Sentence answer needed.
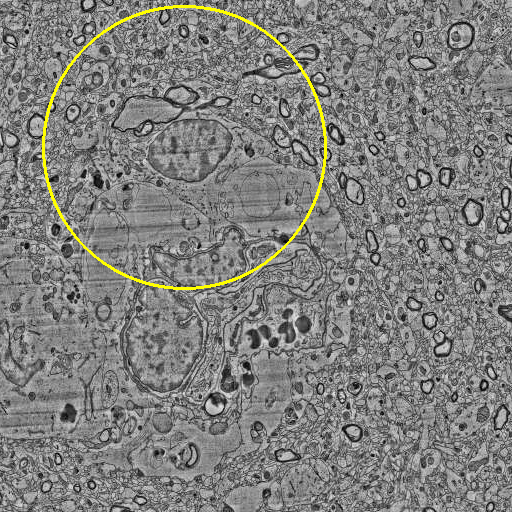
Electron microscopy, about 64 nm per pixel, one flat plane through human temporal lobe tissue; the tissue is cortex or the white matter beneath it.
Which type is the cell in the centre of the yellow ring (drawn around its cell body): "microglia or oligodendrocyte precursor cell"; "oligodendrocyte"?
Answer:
In the centre of the yellow ring is a microglial cell or oligodendrocyte precursor cell.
